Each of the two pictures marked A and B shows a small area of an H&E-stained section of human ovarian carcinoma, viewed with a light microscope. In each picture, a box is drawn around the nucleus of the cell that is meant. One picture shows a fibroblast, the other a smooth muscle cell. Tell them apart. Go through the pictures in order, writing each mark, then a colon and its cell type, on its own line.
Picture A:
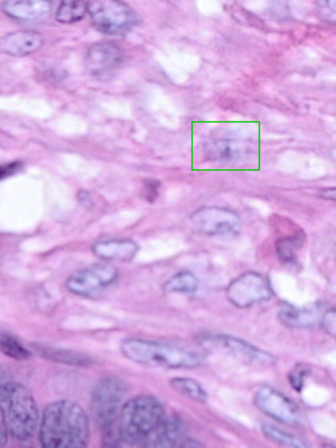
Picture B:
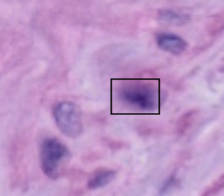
A: fibroblast
B: smooth muscle cell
